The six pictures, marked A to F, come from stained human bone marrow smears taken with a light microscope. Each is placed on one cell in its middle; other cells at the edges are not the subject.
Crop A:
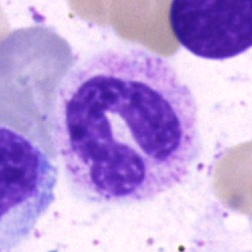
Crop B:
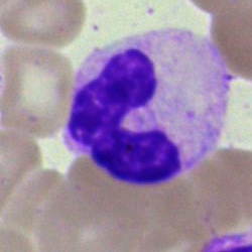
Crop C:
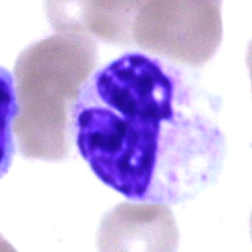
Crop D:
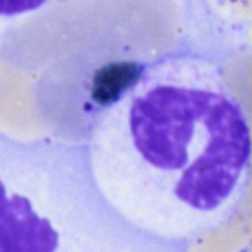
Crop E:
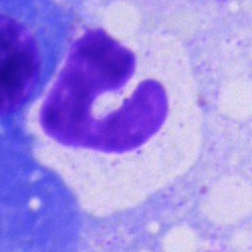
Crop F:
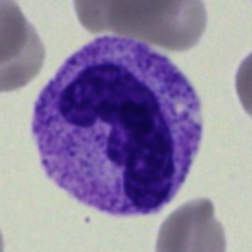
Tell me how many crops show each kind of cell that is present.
band neutrophil: 4
segmented neutrophil: 2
